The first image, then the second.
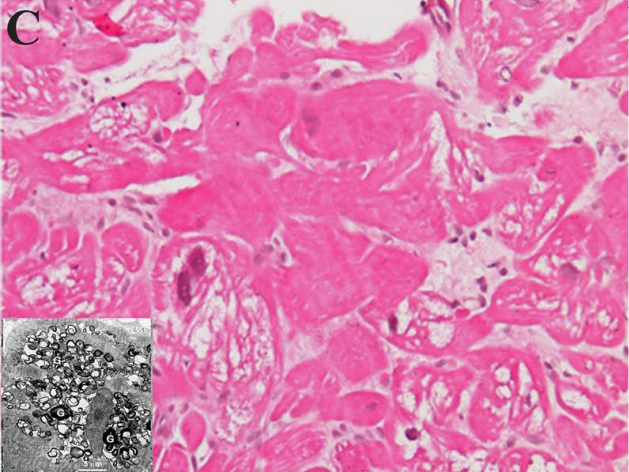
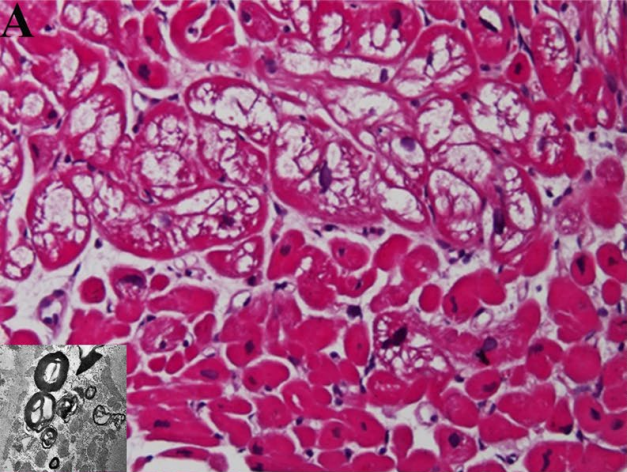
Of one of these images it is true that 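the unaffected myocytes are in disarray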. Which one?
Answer: The first image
